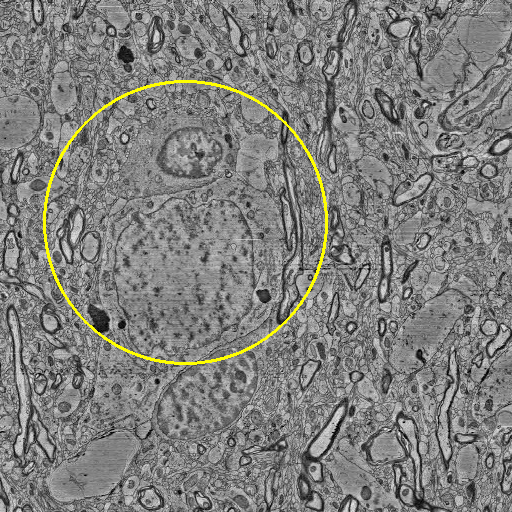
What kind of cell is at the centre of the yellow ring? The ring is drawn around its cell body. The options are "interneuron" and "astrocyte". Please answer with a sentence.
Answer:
The yellow ring marks the cell body of an interneuron.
